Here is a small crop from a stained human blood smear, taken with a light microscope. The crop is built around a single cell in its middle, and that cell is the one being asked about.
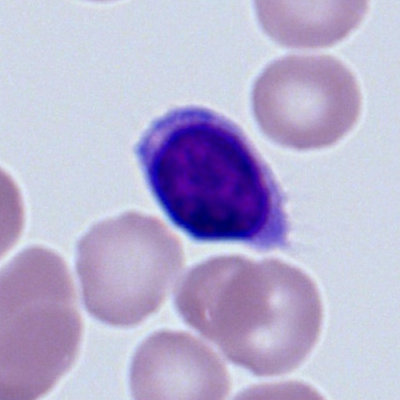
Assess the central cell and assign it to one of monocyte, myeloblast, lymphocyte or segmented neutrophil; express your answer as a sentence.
The middle of this crop holds a lymphocyte.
